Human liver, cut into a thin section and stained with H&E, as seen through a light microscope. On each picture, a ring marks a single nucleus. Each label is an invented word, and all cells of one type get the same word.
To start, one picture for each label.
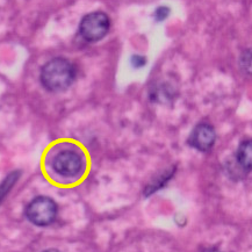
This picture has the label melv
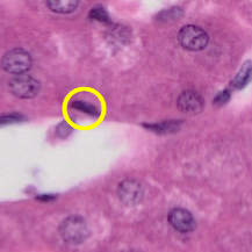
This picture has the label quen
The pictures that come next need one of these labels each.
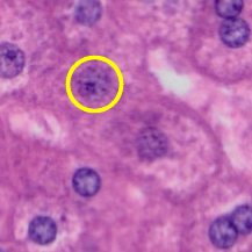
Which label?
melv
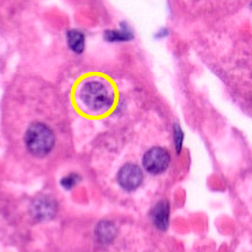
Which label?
melv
